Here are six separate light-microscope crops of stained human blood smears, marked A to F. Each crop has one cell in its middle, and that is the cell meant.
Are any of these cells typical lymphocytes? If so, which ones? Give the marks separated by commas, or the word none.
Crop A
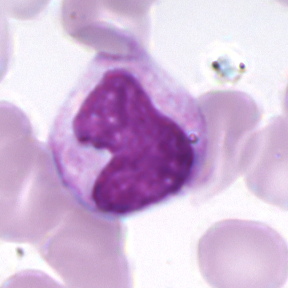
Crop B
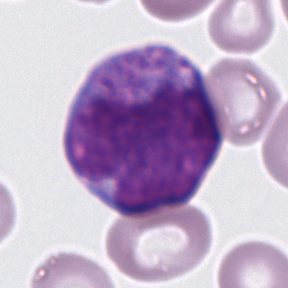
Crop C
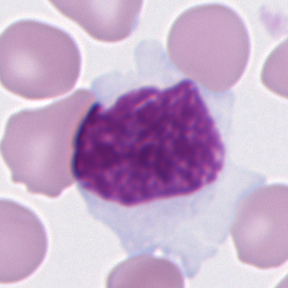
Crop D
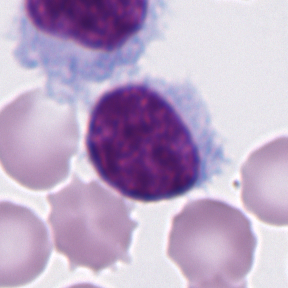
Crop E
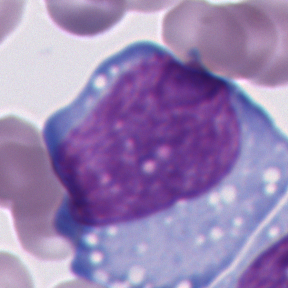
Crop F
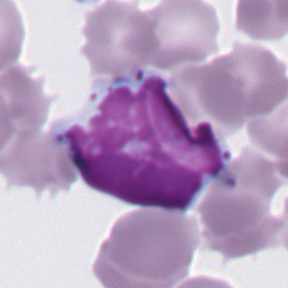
F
